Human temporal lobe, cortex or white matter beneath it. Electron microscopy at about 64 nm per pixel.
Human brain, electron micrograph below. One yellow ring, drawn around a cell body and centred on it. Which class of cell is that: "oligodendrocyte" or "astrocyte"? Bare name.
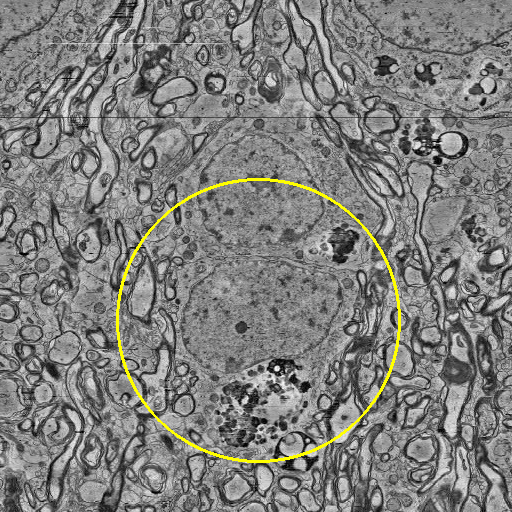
astrocyte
